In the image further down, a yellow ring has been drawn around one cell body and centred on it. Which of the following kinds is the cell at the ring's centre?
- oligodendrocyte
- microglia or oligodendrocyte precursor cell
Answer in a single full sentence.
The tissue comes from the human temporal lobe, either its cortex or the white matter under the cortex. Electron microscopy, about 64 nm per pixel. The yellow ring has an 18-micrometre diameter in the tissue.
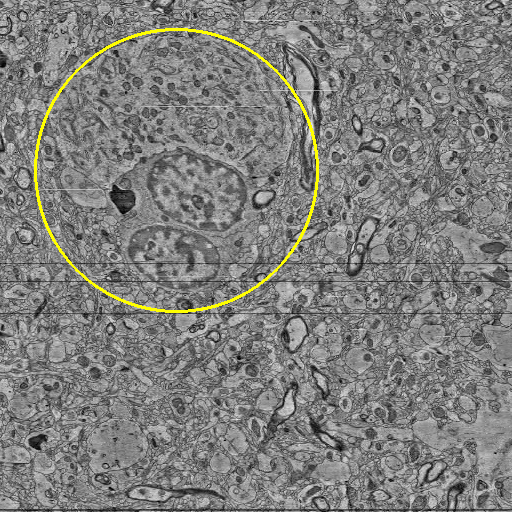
In the picture, the cell sitting at the centre of the yellow ring is an oligodendrocyte.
